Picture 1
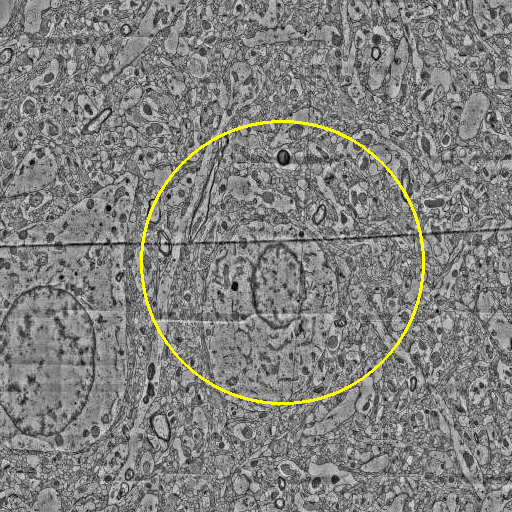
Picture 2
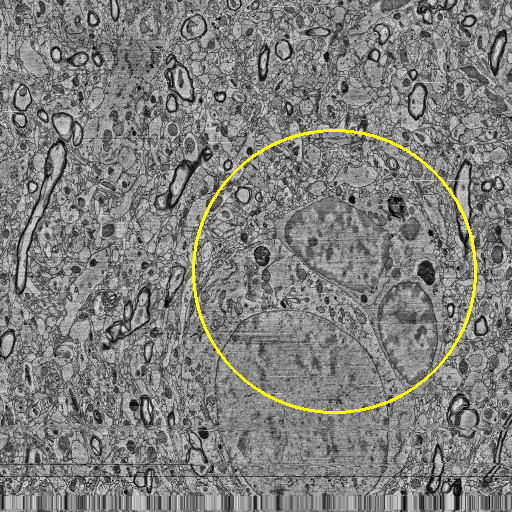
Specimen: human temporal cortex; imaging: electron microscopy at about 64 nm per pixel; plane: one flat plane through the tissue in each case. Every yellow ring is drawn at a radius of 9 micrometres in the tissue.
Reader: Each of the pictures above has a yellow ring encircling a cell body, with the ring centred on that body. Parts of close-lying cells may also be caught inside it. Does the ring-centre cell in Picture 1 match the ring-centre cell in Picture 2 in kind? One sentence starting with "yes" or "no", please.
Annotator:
No, Picture 1 and Picture 2 show ring-centre cells of two kinds.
